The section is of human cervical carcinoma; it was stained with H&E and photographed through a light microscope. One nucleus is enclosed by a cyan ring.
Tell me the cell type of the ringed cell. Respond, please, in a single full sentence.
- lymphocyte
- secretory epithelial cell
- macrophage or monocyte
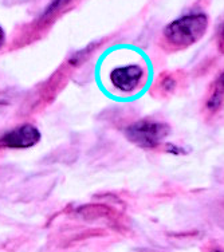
In the context of this tissue, the ringed cell is a lymphocyte.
